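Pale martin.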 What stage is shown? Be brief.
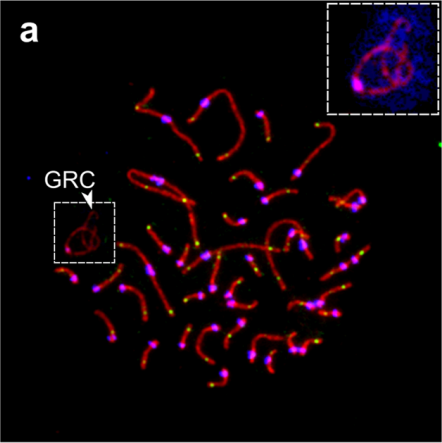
Pachytene spermatocytes.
